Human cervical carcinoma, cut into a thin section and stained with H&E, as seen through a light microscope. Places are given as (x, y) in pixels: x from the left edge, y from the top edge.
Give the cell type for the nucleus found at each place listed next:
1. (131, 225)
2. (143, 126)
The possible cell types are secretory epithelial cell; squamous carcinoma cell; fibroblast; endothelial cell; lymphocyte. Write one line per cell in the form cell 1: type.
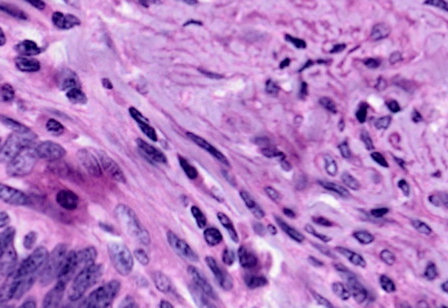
cell 1: endothelial cell
cell 2: lymphocyte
